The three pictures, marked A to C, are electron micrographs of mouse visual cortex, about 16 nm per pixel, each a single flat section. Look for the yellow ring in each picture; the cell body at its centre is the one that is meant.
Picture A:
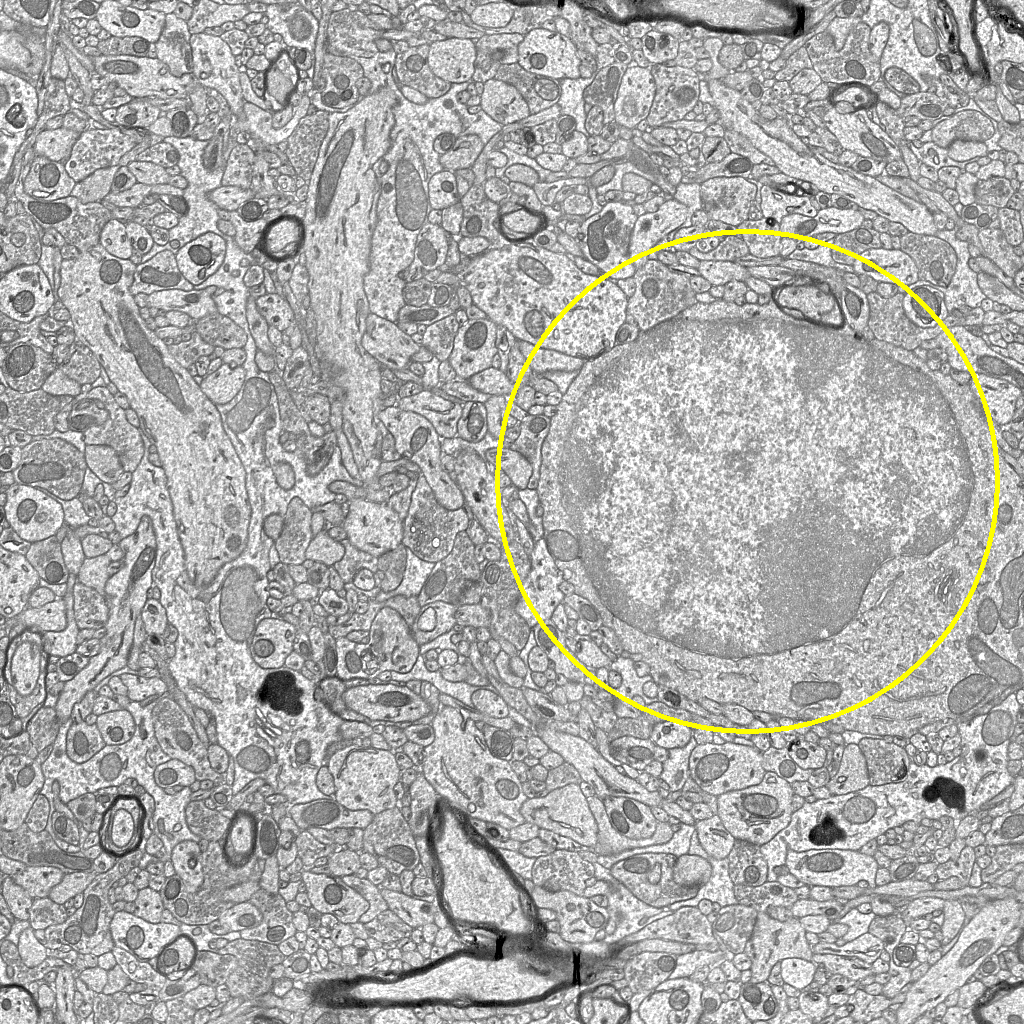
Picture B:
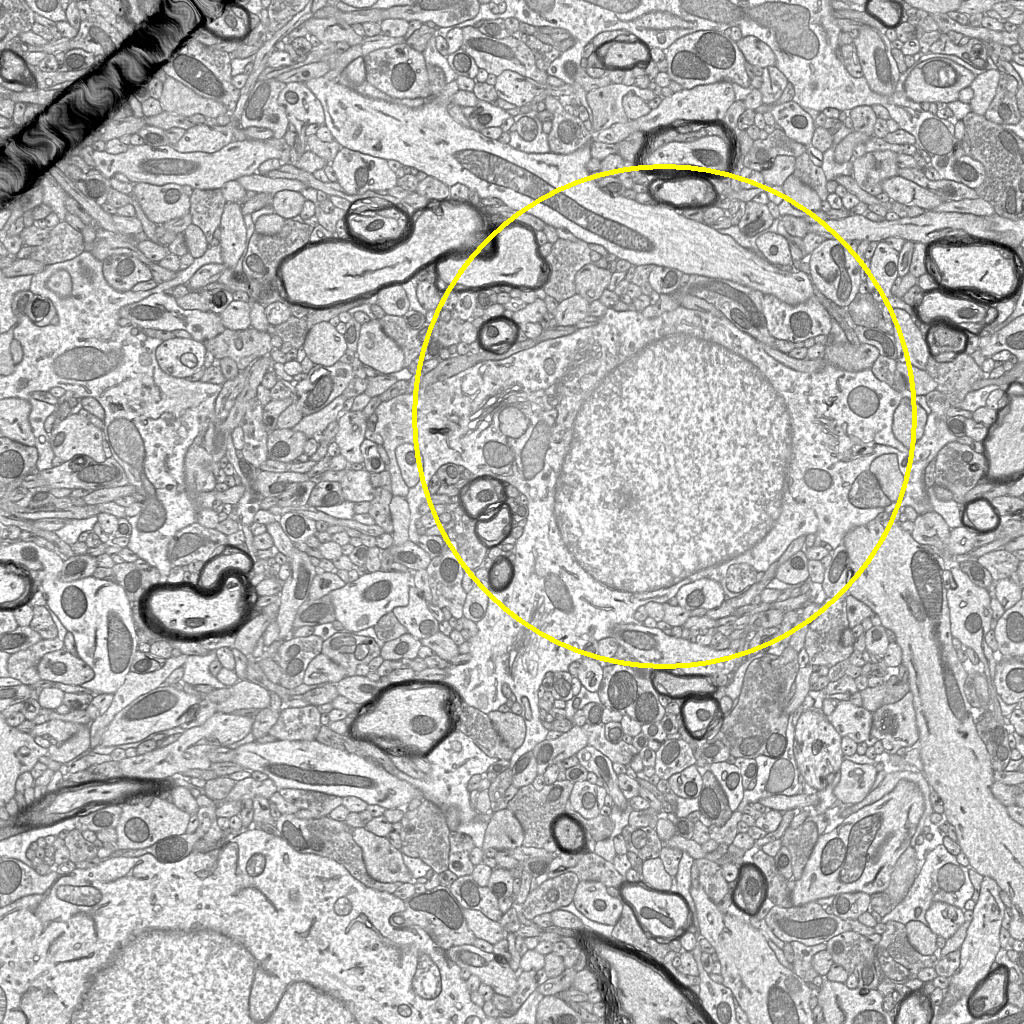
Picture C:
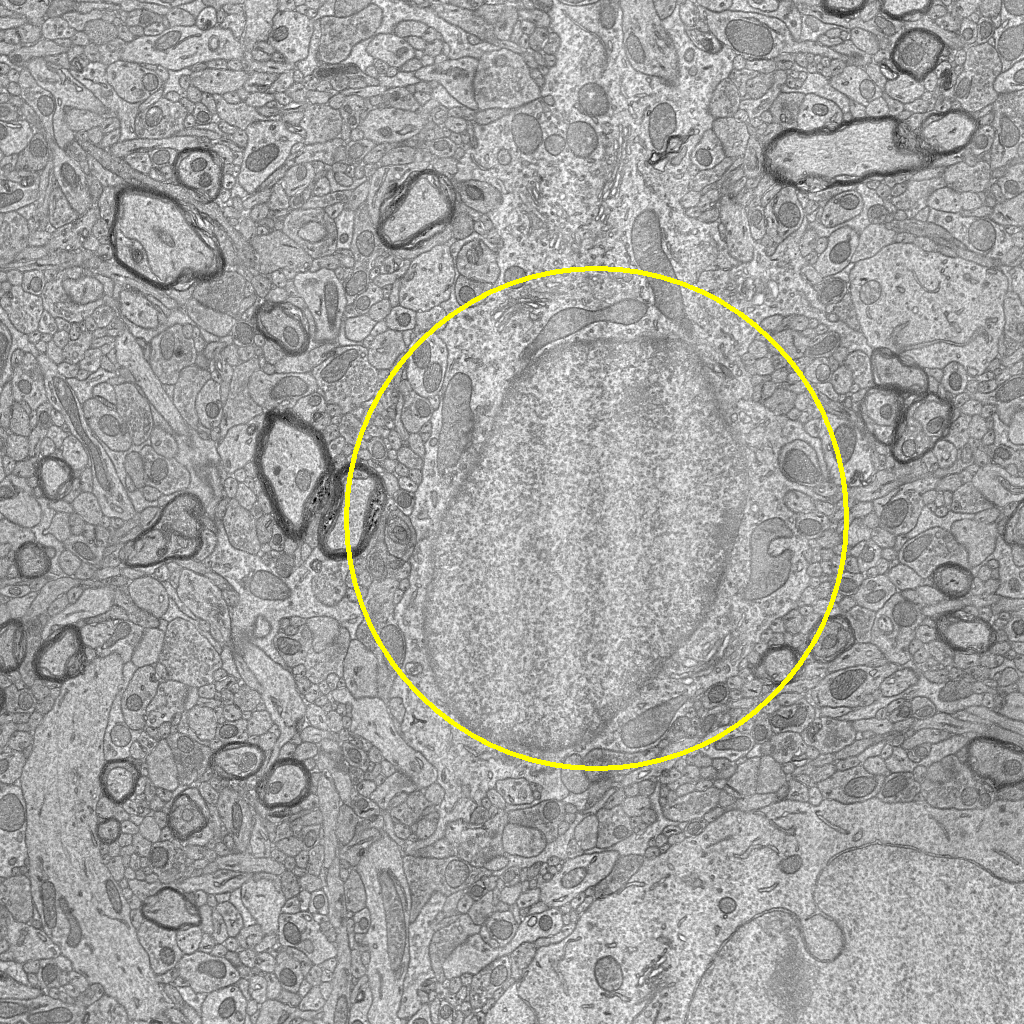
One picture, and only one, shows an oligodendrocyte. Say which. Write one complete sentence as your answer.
The cell in picture A is the oligodendrocyte.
